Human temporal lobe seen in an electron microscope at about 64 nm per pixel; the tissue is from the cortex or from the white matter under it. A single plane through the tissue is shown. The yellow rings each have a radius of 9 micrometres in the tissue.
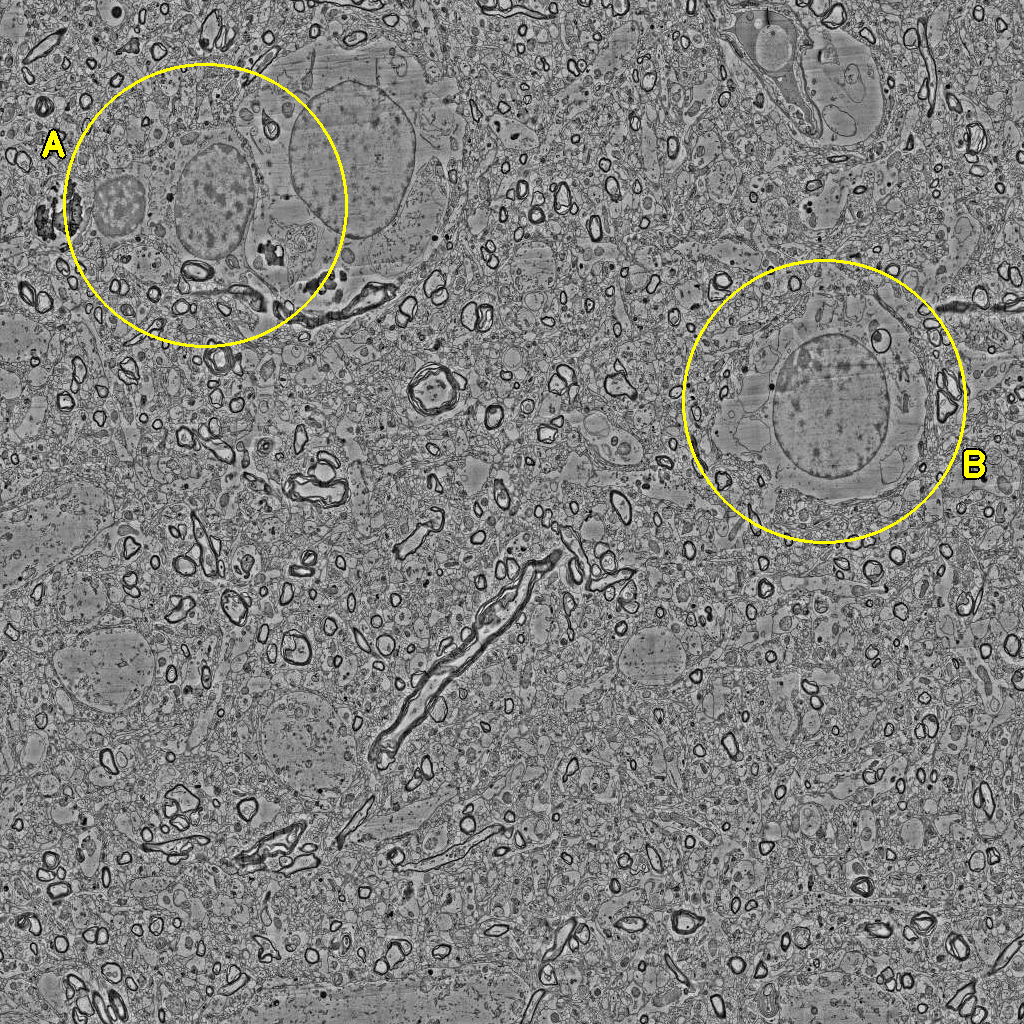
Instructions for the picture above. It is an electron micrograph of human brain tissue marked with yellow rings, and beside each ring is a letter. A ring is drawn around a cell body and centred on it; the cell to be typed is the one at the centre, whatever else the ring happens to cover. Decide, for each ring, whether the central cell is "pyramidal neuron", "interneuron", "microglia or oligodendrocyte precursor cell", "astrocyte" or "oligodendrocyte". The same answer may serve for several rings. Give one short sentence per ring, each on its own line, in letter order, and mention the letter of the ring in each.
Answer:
Ring A is drawn around an oligodendrocyte.
Ring B is drawn around an astrocyte.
